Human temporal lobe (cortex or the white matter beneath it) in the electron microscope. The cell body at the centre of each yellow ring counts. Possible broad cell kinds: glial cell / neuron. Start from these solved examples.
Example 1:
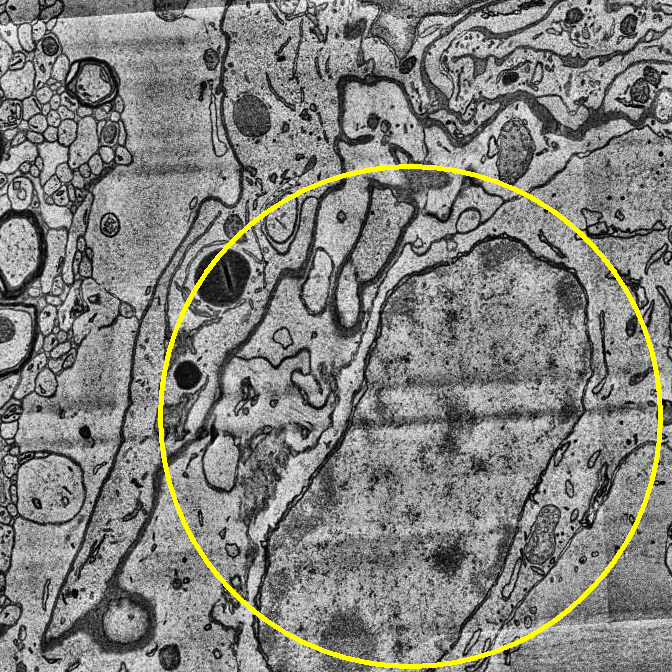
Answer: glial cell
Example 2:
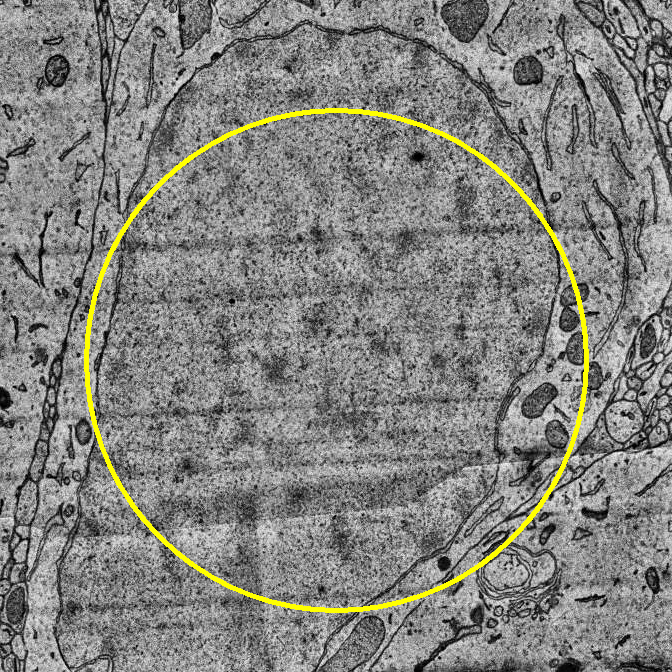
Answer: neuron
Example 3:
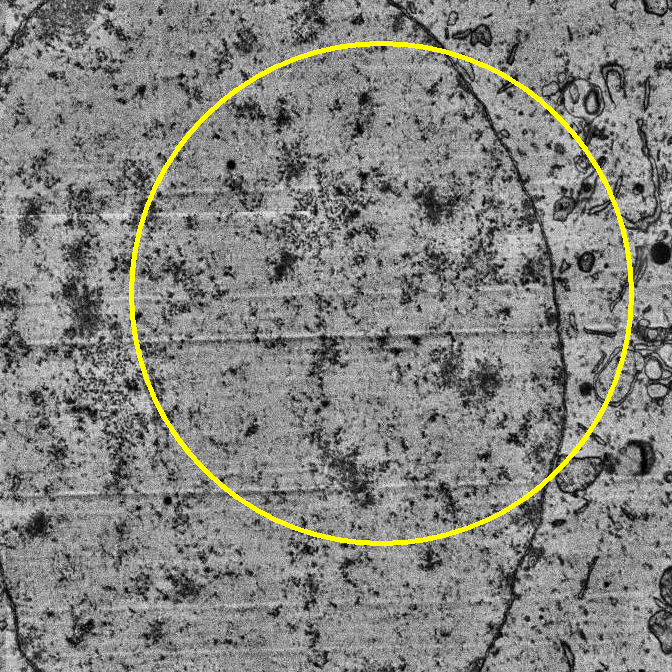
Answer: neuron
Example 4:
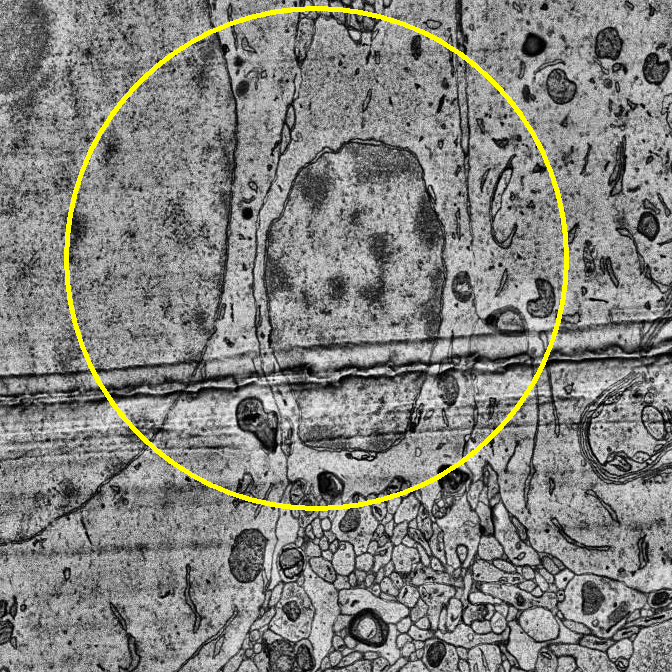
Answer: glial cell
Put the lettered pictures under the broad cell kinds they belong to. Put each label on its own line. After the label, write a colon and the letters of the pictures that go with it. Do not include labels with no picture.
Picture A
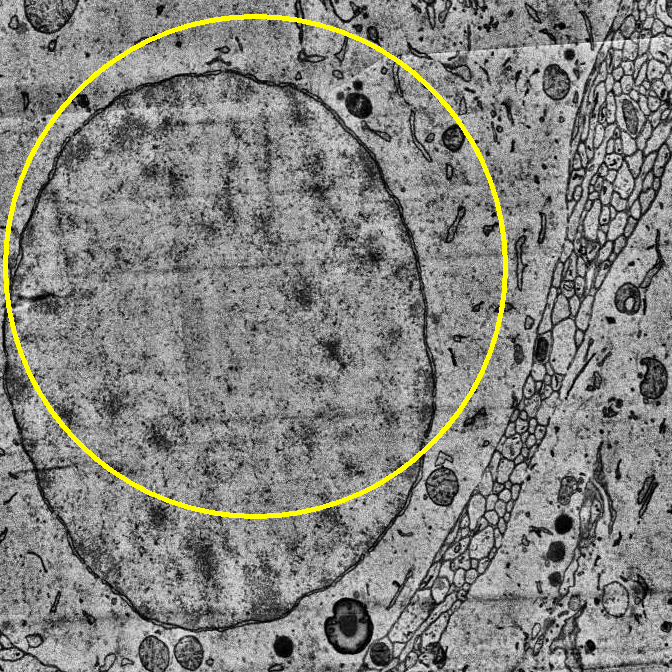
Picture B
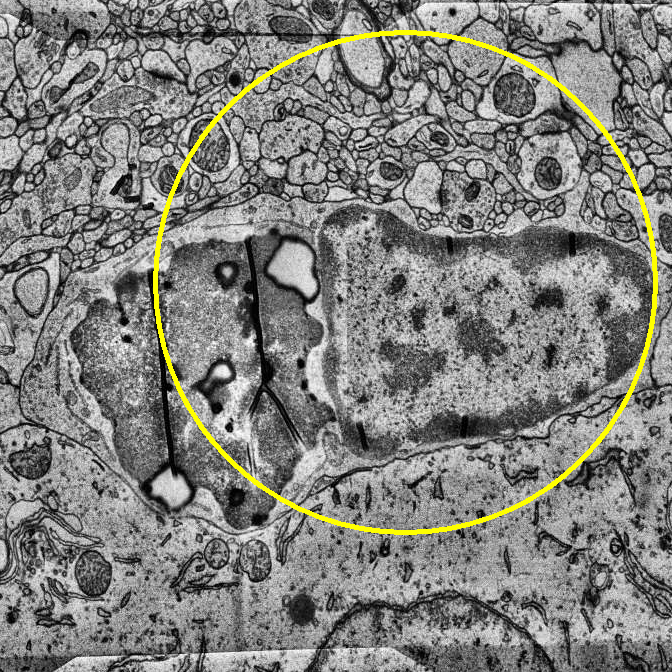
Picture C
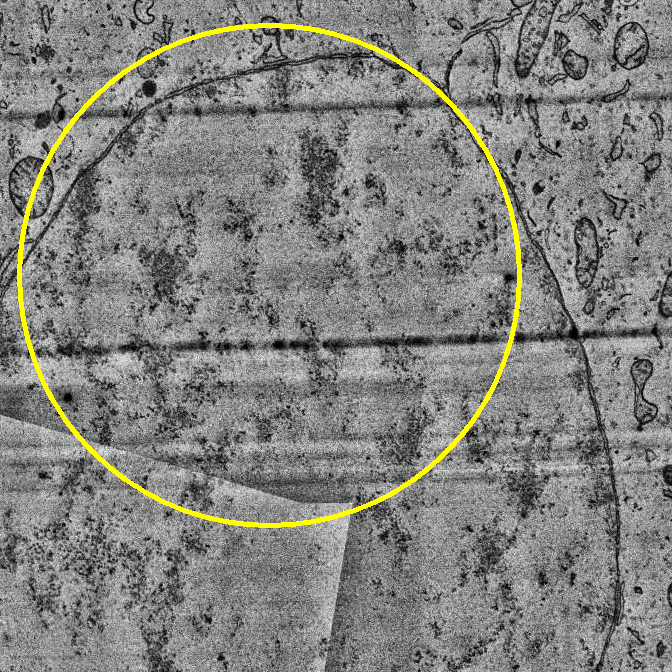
glial cell: B
neuron: A, C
